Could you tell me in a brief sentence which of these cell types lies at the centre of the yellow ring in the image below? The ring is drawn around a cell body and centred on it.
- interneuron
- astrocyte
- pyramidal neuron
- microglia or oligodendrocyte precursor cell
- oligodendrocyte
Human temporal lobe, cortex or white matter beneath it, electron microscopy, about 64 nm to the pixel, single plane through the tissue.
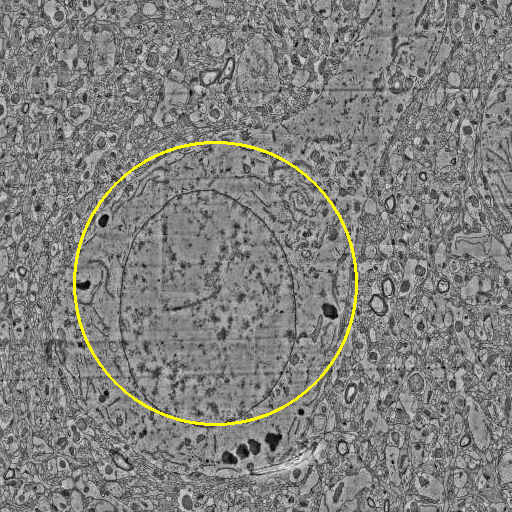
The cell centred in the ring is a pyramidal neuron.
